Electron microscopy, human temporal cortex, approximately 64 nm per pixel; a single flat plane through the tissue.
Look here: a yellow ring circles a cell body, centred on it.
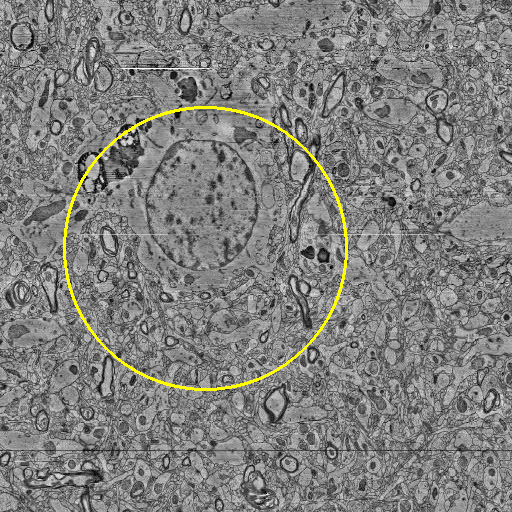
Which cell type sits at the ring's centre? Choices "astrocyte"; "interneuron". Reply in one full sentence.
The cell at the centre of the yellow ring in the picture is an astrocyte.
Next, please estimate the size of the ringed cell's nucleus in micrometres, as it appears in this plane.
In this plane the nucleus is about 9 micrometres by 7.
